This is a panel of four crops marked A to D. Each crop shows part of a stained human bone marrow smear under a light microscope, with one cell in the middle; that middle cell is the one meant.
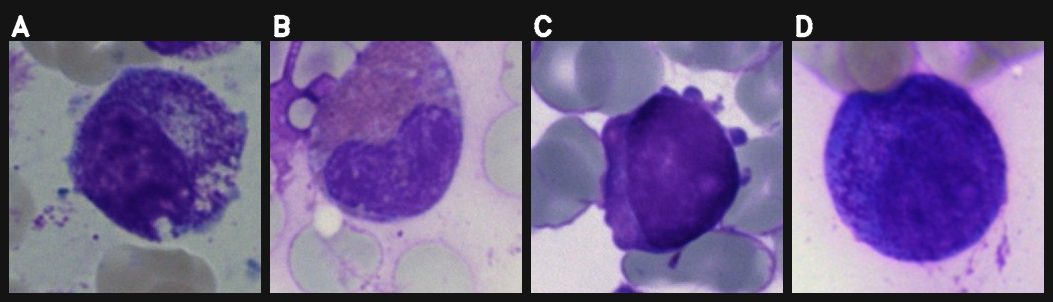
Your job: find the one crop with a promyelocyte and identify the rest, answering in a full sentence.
Crop D presents a promyelocyte at its centre, whereas crop A is a myelocyte, crop B is an eosinophil and crop C is a blast.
